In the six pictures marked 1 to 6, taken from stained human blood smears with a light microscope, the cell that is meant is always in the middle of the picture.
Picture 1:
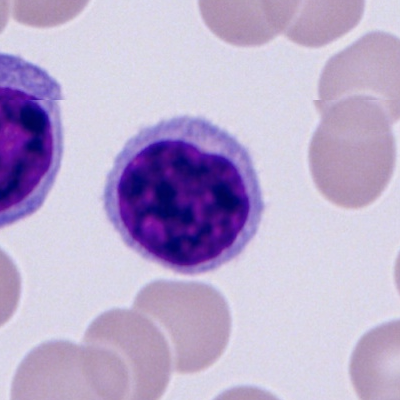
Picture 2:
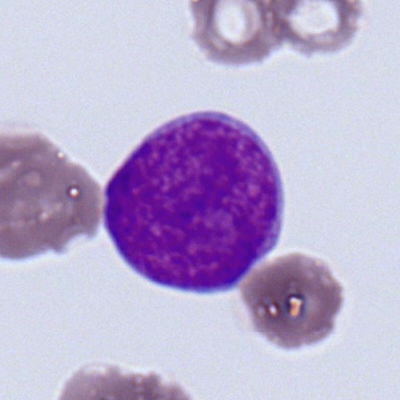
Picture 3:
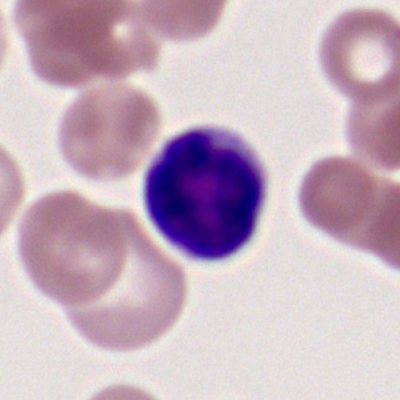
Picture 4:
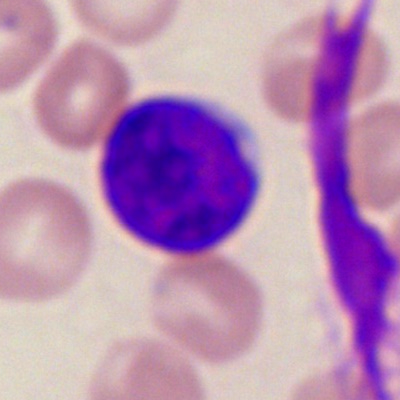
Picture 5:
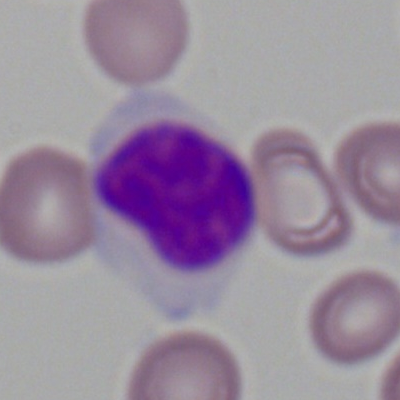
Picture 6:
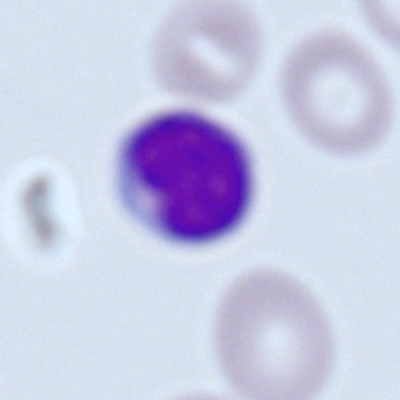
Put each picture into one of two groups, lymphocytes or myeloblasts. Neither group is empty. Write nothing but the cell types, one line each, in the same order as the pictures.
lymphocyte
myeloblast
lymphocyte
myeloblast
lymphocyte
lymphocyte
